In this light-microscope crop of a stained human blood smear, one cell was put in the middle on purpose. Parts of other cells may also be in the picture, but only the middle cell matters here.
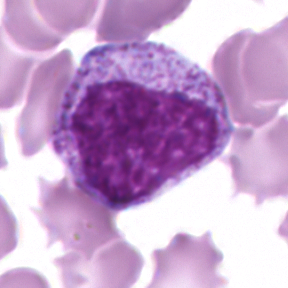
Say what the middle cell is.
myelocyte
